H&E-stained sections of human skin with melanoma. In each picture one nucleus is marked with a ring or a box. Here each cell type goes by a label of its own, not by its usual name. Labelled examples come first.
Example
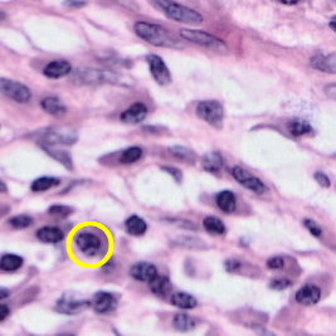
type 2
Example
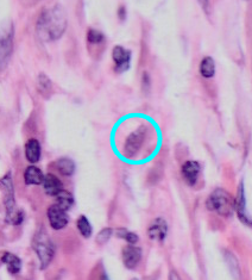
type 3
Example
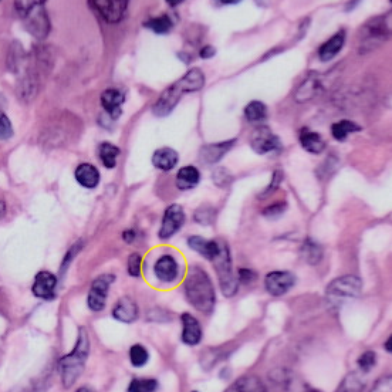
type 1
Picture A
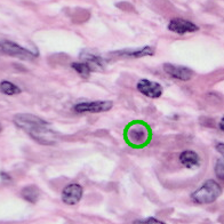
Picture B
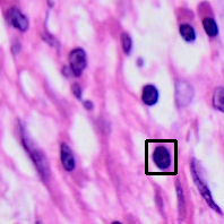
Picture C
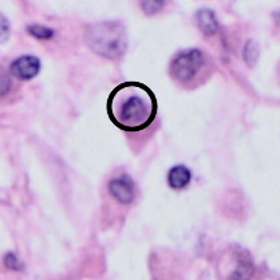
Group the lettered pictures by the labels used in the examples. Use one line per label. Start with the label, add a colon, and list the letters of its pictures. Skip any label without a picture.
type 2: A, B
type 3: C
